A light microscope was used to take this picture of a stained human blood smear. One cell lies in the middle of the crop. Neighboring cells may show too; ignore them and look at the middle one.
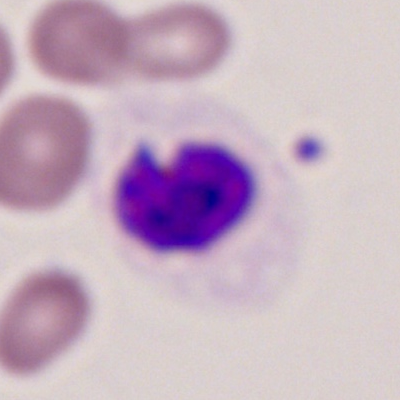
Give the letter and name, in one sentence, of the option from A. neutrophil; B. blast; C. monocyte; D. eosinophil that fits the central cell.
At the centre of the crop lies a neutrophil, which makes option A correct.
